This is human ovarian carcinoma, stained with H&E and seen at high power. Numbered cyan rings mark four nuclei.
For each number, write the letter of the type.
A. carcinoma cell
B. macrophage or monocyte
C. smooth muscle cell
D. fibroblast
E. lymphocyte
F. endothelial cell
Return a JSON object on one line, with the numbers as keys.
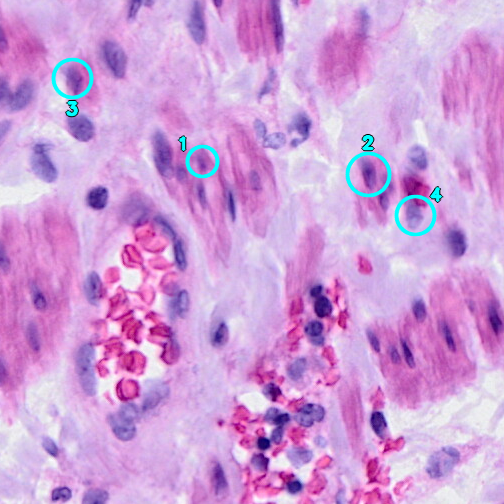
{"1": "C", "2": "C", "3": "C", "4": "F"}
